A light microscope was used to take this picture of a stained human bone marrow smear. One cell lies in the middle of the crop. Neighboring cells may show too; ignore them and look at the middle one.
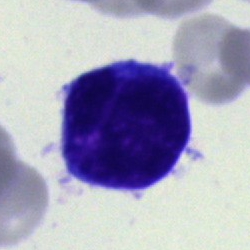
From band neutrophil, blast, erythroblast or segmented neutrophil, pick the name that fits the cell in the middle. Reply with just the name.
blast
